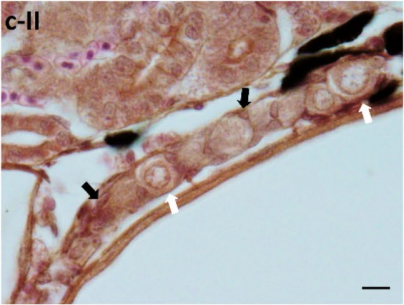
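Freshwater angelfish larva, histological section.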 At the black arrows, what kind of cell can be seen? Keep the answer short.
Somatic cells.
